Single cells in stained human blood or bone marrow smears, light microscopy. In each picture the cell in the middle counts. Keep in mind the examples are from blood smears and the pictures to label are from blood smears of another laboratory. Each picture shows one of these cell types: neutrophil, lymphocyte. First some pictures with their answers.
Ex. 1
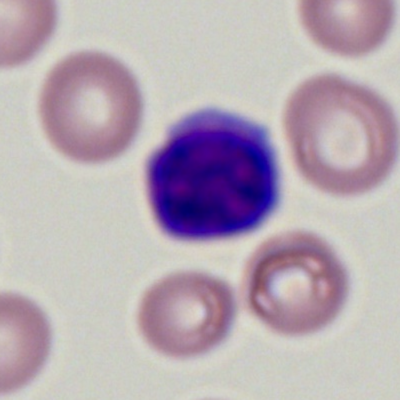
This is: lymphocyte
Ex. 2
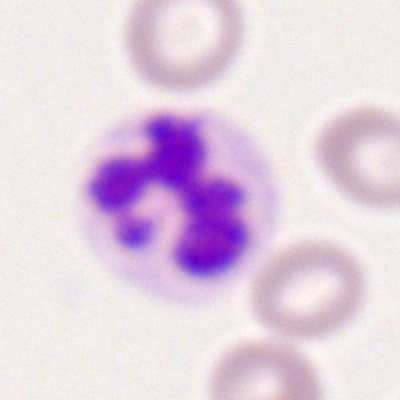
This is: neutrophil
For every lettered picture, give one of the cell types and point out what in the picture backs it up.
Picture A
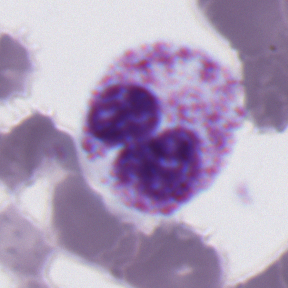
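Answer: neutrophil. The cytoplasm is packed with reddish-orange granules.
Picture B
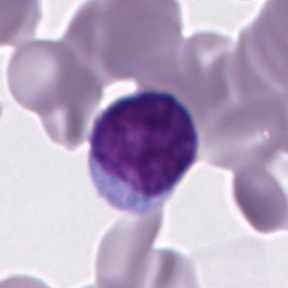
Answer: lymphocyte. The cytoplasm forms a narrow crescent mainly along the lower left side of the cell.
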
